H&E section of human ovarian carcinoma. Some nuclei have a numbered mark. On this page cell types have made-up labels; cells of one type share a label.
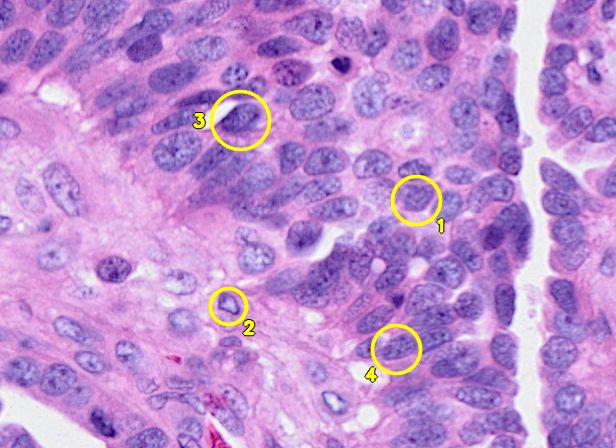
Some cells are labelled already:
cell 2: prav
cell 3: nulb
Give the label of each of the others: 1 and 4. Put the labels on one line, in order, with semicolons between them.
nulb; nulb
